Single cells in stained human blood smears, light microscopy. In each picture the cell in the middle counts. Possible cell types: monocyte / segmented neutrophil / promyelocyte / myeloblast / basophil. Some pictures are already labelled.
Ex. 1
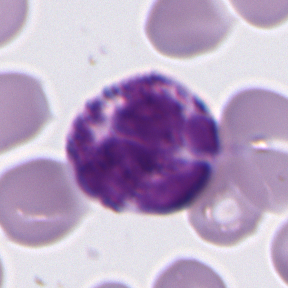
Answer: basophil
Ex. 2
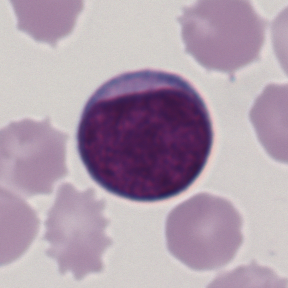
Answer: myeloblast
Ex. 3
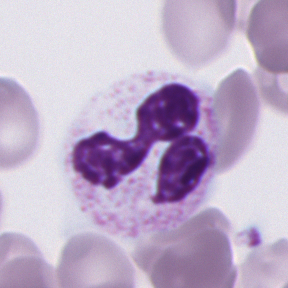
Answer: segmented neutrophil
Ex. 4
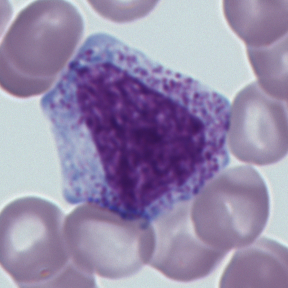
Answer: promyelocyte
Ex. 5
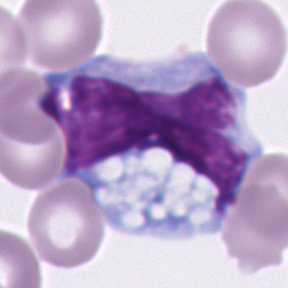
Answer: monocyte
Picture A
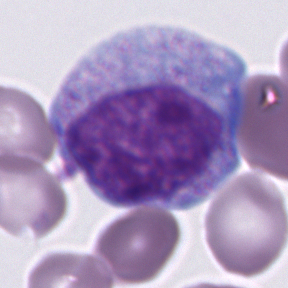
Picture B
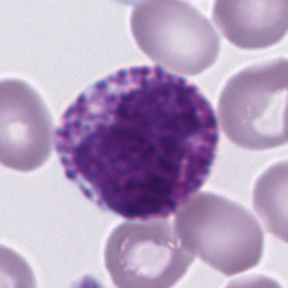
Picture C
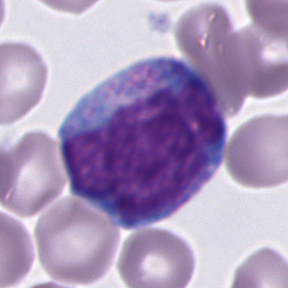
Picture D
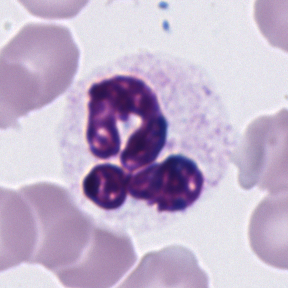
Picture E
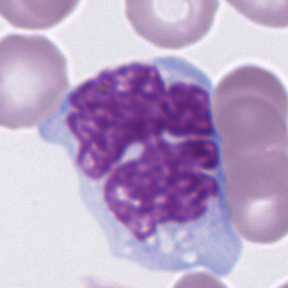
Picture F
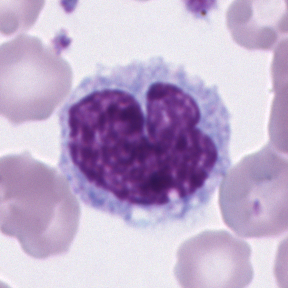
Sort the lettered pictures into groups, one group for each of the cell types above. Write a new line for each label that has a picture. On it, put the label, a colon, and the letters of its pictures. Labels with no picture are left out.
monocyte: E, F
segmented neutrophil: D
promyelocyte: A, C
basophil: B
